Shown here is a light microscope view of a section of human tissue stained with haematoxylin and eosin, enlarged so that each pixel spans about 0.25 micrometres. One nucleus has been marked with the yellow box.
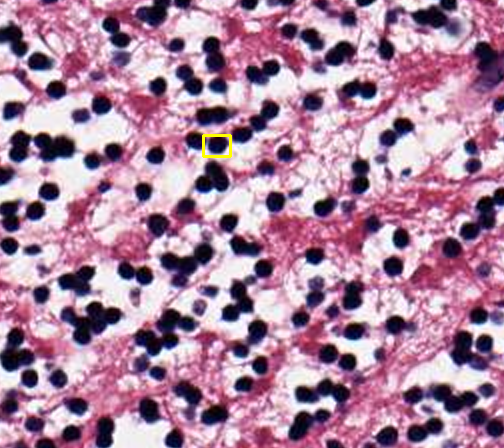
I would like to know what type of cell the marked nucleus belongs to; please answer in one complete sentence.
The owner of the marked nucleus is a cerebellar granule cell.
